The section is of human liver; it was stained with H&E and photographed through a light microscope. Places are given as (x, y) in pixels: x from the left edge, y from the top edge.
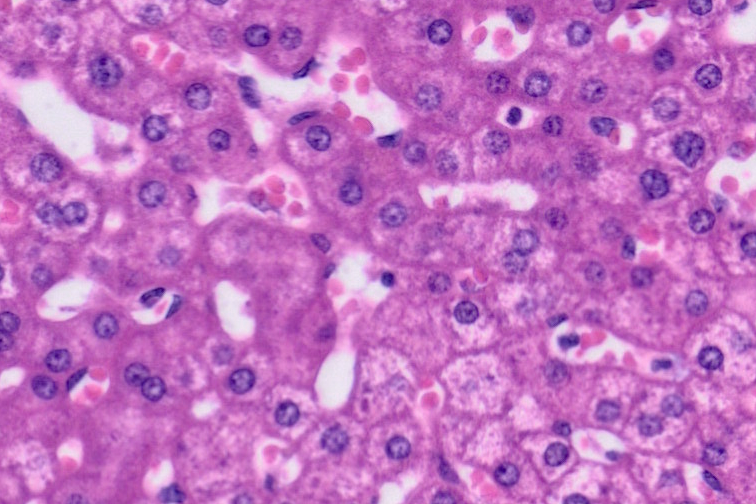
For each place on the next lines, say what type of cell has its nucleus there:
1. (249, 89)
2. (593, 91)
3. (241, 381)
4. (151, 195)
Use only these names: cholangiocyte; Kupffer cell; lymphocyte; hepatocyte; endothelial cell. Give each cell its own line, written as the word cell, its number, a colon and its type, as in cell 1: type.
cell 1: Kupffer cell
cell 2: hepatocyte
cell 3: hepatocyte
cell 4: hepatocyte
